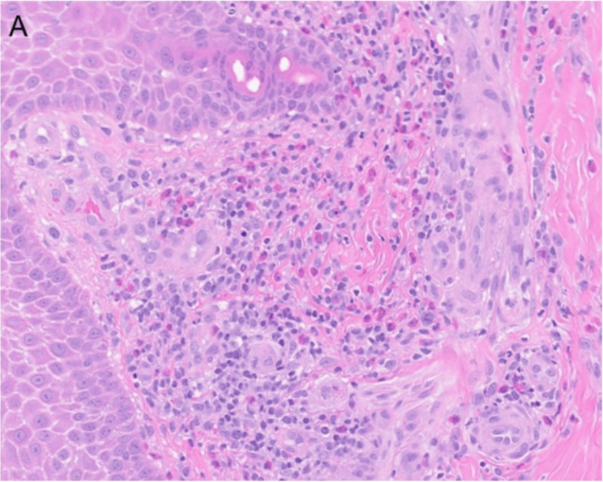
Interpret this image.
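Squamous epithelium with pale pink polygonal cells lies at the upper left, and beneath it the dermis holds a mixed inflammatory infiltrate with prominent eosinophils. These cells stand out by their bright pink-red cytoplasm, scattered among cells with small round dark nuclei. Small round epithelial cords with pale pink cytoplasm are embedded in the infiltrate. Along the right edge the tissue turns into dense pink collagen with fewer cells.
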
